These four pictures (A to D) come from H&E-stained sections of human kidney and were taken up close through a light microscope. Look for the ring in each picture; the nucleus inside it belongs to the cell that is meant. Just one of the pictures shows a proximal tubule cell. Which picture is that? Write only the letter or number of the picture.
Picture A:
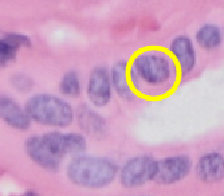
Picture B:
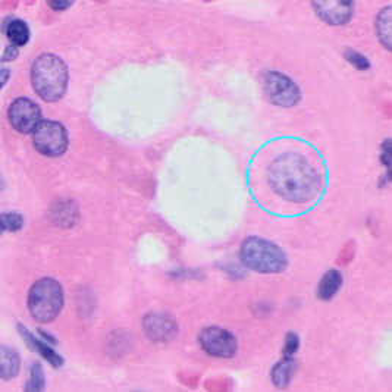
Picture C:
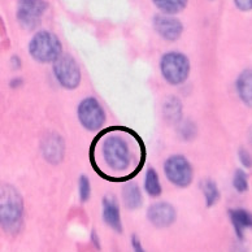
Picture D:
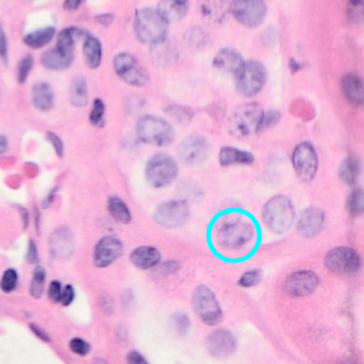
B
